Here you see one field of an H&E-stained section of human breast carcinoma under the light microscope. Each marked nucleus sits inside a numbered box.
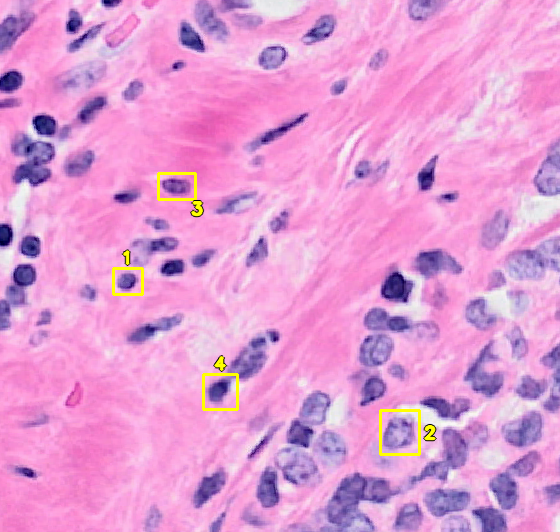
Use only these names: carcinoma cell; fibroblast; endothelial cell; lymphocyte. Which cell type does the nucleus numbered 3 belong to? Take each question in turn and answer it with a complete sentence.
Belonging to a lymphocyte is the nucleus that carries the number 3.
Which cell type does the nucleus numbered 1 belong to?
The cell bearing label 1 corresponds to a lymphocyte.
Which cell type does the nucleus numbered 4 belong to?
In the marked set, the cell given number 4 is a lymphocyte.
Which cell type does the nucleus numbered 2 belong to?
The cell numbered 2 represents a carcinoma cell.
